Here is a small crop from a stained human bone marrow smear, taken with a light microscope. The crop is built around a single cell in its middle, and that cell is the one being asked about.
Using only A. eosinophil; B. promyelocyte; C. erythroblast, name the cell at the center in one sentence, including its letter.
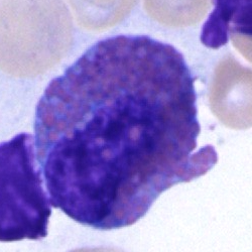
Option A is the right choice, the central cell being an eosinophil.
